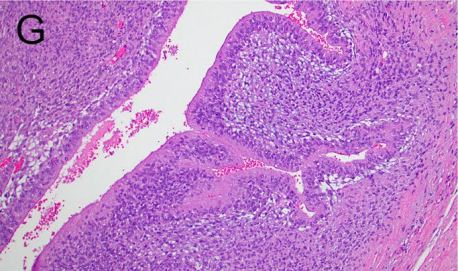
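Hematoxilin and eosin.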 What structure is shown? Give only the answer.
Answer: Branching, gland‐like structures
